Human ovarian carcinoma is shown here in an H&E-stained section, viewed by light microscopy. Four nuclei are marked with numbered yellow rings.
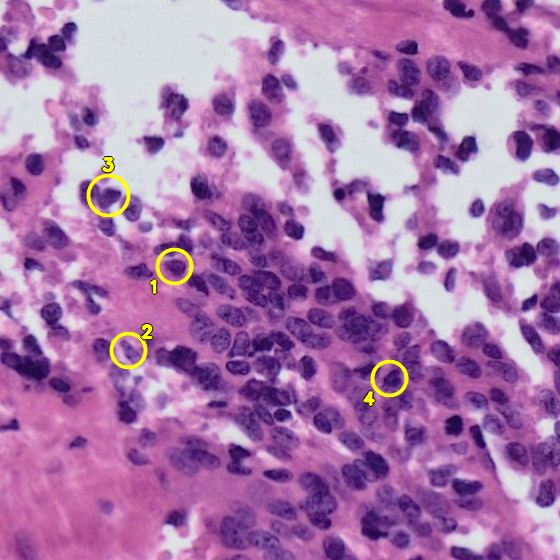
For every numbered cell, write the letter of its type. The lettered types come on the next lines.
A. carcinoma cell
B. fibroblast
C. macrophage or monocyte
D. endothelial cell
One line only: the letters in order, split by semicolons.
A; C; A; A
